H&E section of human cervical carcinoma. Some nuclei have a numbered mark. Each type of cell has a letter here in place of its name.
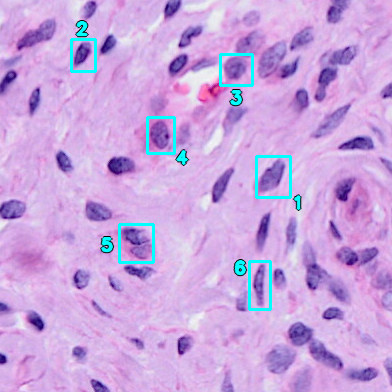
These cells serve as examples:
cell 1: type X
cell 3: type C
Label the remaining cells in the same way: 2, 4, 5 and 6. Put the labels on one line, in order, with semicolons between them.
type X; type C; type C; type X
